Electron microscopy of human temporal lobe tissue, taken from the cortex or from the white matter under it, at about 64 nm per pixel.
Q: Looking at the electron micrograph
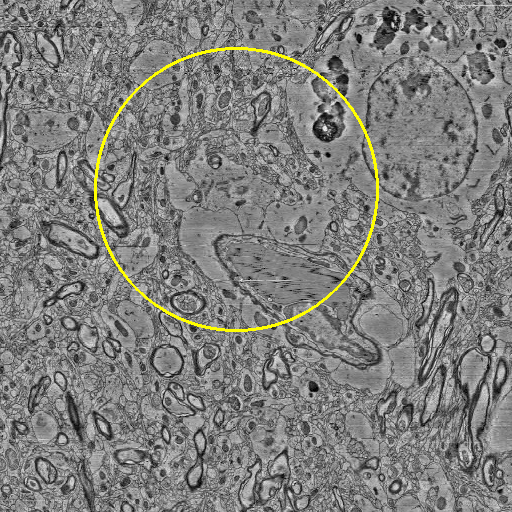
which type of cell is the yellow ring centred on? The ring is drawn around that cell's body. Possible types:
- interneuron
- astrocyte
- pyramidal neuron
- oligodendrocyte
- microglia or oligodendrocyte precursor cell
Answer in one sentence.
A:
The yellow ring is centred on a microglial cell or oligodendrocyte precursor cell.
